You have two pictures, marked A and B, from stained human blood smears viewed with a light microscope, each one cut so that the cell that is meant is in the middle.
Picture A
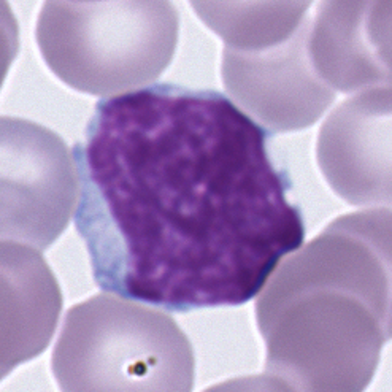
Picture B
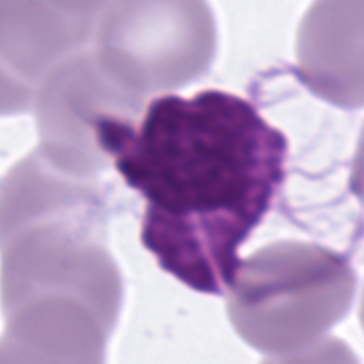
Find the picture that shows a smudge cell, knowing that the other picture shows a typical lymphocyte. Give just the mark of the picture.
B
